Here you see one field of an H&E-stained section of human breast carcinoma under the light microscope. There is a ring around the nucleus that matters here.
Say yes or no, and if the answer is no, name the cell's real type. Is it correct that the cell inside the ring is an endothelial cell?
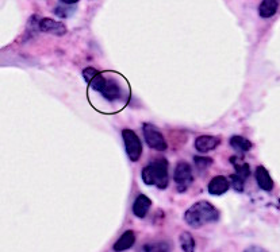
No, it is a lymphocyte.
